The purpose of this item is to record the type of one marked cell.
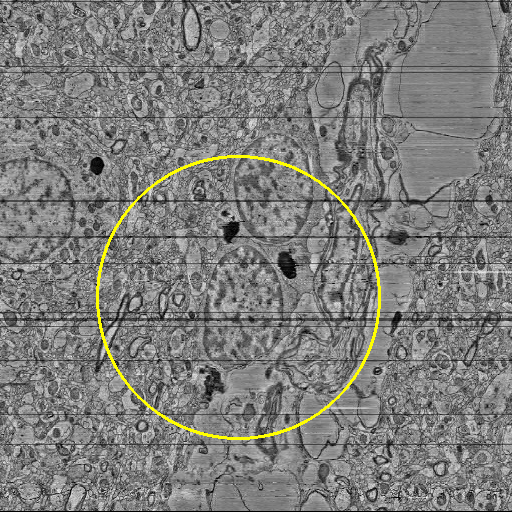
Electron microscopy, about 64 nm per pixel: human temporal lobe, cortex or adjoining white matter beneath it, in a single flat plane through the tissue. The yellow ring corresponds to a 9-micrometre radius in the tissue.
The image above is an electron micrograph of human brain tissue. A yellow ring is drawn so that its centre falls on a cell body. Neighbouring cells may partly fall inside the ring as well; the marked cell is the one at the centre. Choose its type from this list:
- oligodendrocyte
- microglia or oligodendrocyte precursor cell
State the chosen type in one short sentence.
What the ring marks here is an oligodendrocyte.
